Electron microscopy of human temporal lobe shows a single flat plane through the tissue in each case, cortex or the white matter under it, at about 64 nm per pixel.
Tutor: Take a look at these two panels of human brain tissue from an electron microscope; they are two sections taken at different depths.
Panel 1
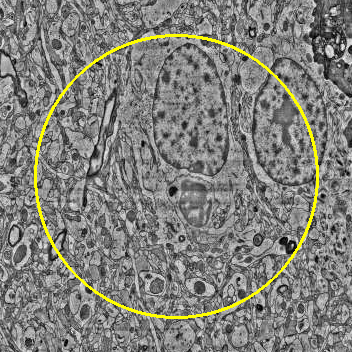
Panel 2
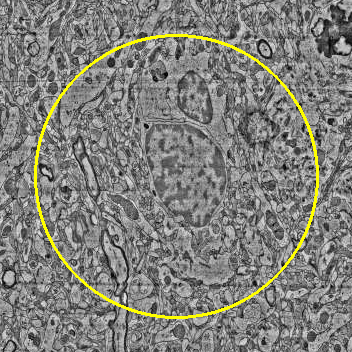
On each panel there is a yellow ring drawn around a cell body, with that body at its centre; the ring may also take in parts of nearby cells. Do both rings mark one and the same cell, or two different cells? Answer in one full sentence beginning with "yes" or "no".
Yes, a single cell is marked twice, once by each yellow ring.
